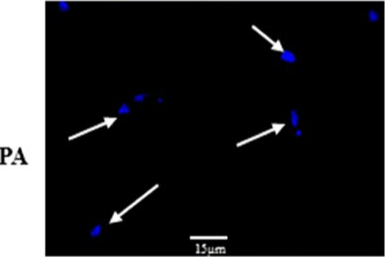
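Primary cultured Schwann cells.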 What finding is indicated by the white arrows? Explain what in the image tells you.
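The arrowed nuclei are much smaller than the oval nuclei of an ordinary cultured cell. The arrowed nuclei are compact and intensely bright blue. Some arrowed nuclei appear as small separate dots rather than one oval. On this evidence: Nuclear condensations.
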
